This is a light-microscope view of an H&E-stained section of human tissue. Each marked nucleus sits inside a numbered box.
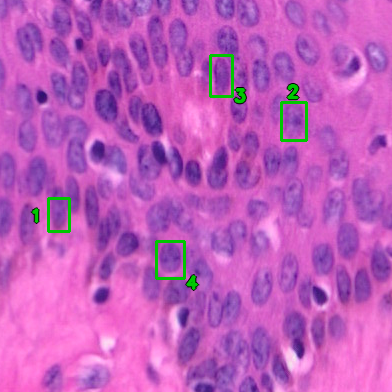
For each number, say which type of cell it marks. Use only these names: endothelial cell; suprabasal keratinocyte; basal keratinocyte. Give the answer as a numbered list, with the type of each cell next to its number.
1. basal keratinocyte
2. suprabasal keratinocyte
3. basal keratinocyte
4. basal keratinocyte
